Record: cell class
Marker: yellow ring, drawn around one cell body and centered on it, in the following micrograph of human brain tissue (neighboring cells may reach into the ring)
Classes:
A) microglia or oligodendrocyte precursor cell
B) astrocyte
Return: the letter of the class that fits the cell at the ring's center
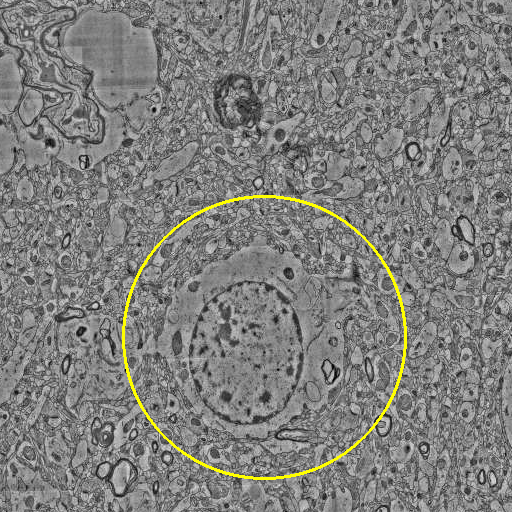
B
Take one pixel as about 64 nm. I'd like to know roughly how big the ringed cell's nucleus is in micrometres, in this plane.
The ringed cell's nucleus measures approximately 9 by 7 micrometres in this plane.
